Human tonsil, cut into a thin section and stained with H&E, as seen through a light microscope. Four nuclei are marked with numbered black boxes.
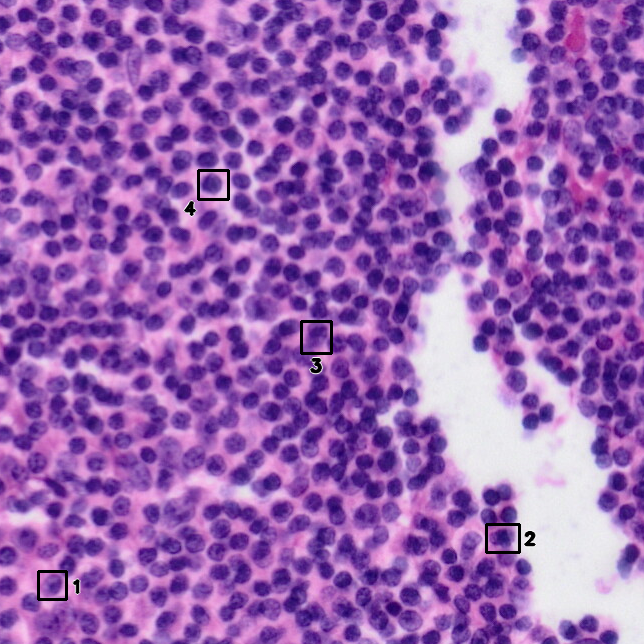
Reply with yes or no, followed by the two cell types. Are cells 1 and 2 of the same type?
No, cell 1 is a plasma cell and cell 2 is a small lymphocyte.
